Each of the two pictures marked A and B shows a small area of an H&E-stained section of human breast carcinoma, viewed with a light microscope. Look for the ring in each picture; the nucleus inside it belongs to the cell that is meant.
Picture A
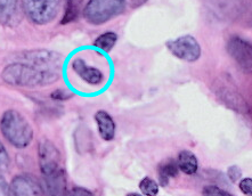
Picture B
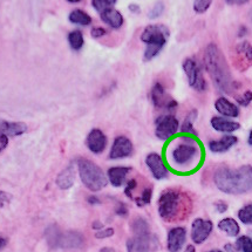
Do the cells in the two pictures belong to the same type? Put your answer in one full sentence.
Yes, they are the same type: both are lymphocytes.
